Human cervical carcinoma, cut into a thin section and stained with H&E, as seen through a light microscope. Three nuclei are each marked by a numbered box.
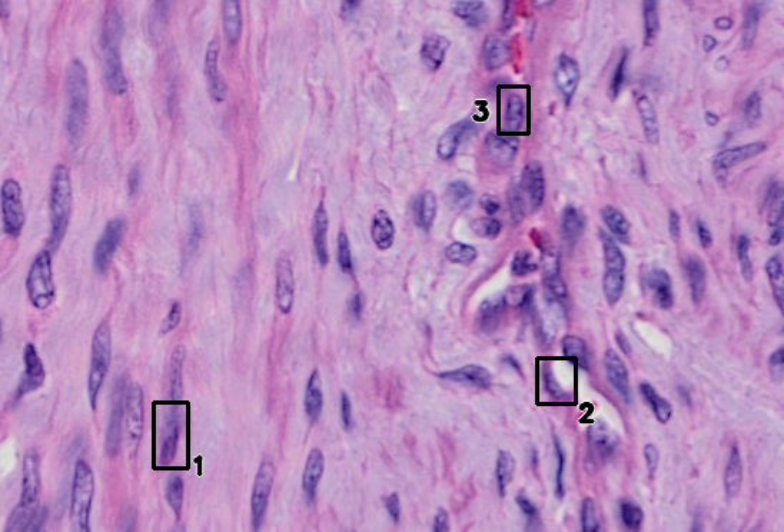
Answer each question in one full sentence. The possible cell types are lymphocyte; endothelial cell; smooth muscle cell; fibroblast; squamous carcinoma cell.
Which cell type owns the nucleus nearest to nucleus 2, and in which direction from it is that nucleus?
An endothelial cell lies closest, above and to the right of nucleus 2.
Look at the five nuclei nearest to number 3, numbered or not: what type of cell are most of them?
Endothelial cells account for more than half of the five nuclei nearest to number 3.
